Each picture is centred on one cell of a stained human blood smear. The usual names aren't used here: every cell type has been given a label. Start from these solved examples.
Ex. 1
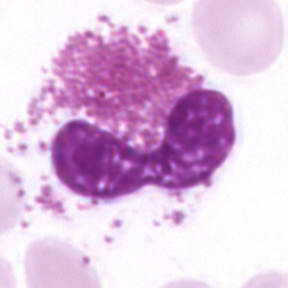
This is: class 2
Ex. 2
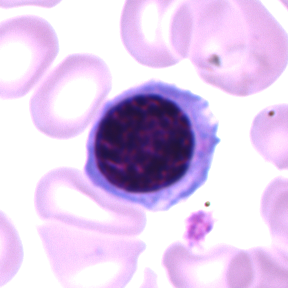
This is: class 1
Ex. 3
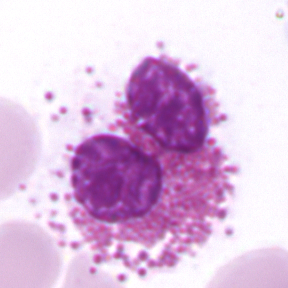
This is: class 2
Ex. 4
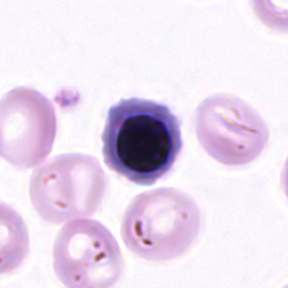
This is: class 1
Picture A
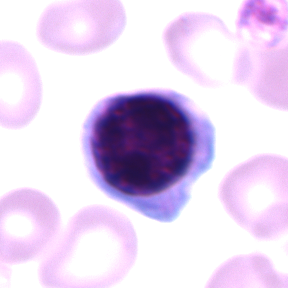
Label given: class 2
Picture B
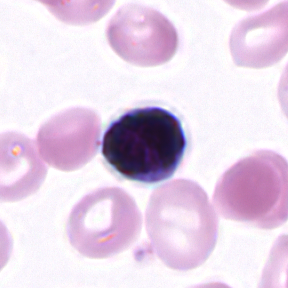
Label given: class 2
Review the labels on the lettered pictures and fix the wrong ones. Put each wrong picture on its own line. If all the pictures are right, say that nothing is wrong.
A should be class 1, not class 2
B should be class 1, not class 2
